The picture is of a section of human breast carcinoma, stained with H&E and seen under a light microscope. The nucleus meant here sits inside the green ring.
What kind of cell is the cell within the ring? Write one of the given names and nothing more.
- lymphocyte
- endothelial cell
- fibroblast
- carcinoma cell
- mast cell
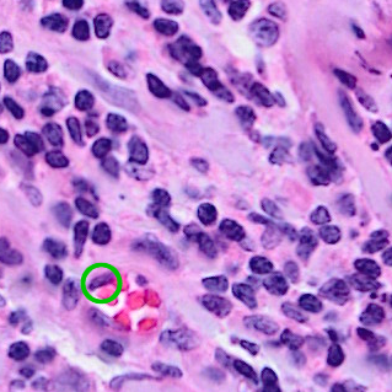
endothelial cell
